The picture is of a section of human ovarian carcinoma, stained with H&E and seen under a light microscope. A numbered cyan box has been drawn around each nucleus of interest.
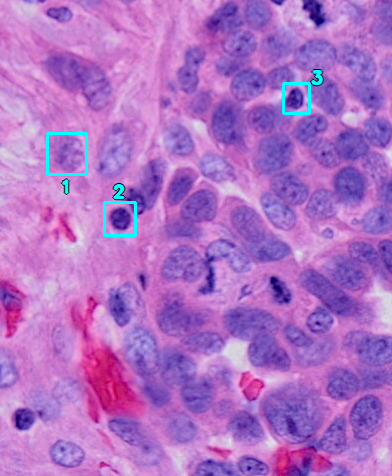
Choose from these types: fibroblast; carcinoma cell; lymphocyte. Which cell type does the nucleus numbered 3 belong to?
lymphocyte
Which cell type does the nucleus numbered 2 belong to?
lymphocyte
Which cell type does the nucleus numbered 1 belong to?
fibroblast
